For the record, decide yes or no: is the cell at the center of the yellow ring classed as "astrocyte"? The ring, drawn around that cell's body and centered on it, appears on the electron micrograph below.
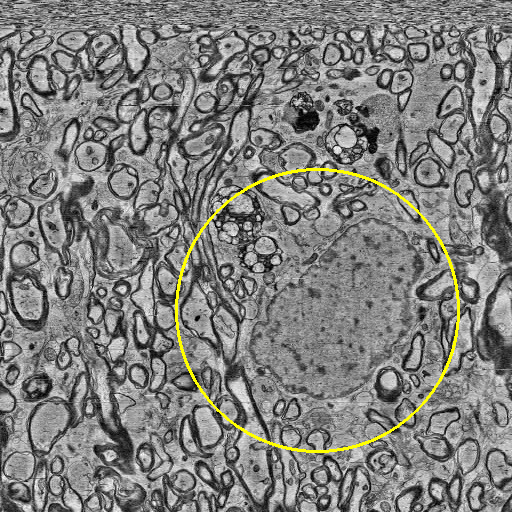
yes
